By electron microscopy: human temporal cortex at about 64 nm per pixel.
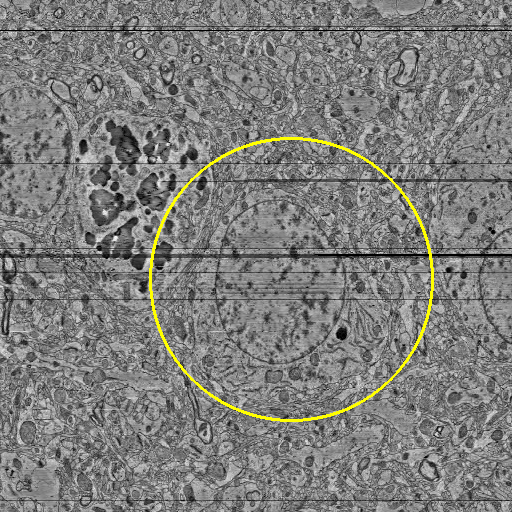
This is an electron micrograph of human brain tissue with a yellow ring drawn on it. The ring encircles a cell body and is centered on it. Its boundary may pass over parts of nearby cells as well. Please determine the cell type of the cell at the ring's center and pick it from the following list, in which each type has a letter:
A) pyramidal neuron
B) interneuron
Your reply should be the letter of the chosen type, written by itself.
A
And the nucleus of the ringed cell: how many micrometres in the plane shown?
In this plane, roughly 11 by 9 micrometres.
